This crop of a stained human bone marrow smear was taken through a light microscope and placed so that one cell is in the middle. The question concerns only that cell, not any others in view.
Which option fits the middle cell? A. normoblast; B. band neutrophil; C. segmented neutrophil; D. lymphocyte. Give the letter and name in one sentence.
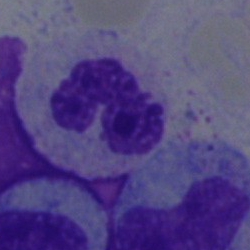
In the middle of the crop is a band neutrophil; option B is therefore correct.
